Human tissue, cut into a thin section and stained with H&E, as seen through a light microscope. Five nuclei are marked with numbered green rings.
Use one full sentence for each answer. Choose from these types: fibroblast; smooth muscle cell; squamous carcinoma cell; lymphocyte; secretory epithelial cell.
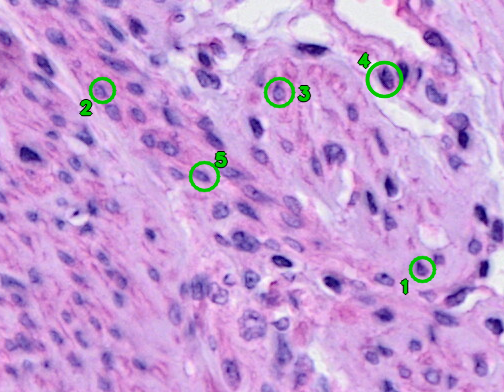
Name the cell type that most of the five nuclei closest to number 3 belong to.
Around number 3, most of the five nearest nuclei are those of lymphocytes.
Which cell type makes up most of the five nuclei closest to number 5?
Most of the five nuclei nearest to number 5 are those of smooth muscle cells.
